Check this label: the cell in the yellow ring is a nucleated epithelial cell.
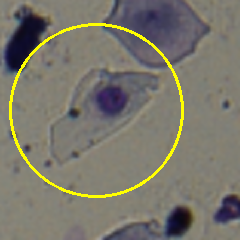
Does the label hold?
The label holds; the cell is a nucleated epithelial cell.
